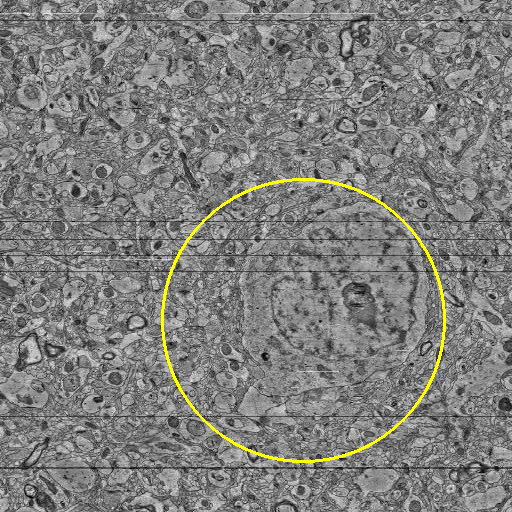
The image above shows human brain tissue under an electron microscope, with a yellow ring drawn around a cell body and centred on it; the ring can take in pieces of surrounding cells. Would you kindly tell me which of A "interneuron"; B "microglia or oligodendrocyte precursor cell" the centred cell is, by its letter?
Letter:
A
